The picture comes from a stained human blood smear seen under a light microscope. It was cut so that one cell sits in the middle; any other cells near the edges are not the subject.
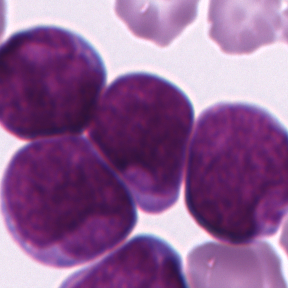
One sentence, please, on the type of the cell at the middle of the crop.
The middle of this crop is occupied by a myeloblast.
